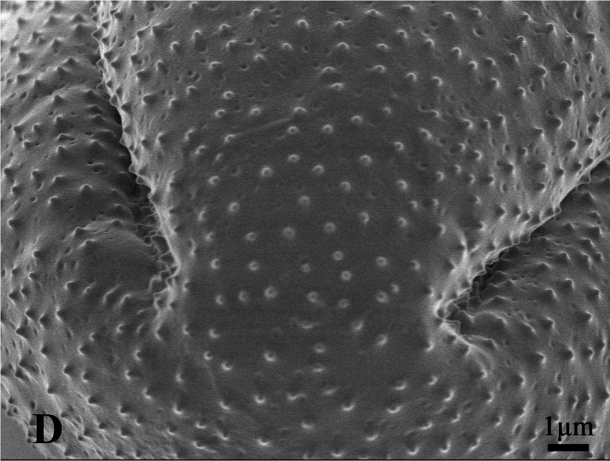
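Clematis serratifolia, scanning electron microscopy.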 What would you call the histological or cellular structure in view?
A: Ornamentation.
